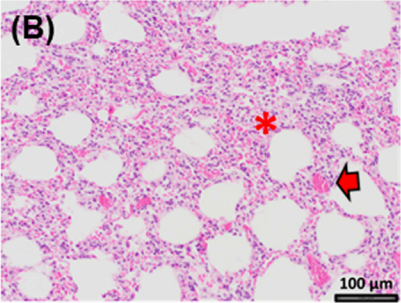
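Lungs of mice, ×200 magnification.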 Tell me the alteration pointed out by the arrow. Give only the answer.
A: capillary congestion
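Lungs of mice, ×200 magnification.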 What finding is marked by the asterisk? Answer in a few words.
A: Interstitial widening.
